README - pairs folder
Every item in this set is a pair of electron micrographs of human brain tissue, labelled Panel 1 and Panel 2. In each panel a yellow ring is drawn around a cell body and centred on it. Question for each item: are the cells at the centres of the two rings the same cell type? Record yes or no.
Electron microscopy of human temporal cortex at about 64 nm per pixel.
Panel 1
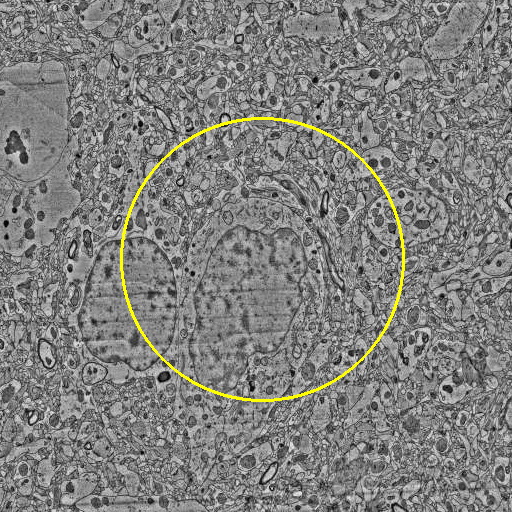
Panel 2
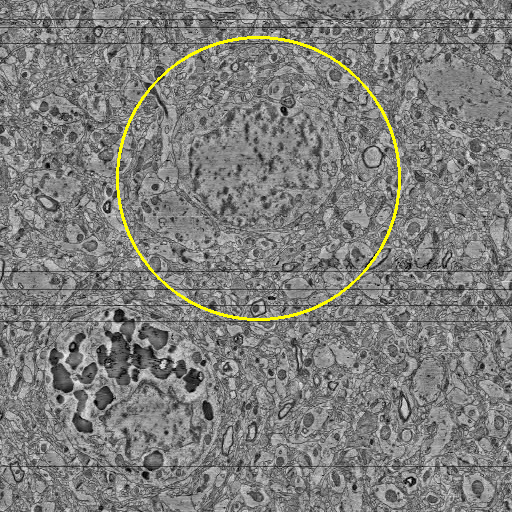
yes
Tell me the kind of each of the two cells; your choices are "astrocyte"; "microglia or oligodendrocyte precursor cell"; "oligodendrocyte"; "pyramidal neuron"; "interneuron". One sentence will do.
In each picture the ringed cell is an interneuron.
